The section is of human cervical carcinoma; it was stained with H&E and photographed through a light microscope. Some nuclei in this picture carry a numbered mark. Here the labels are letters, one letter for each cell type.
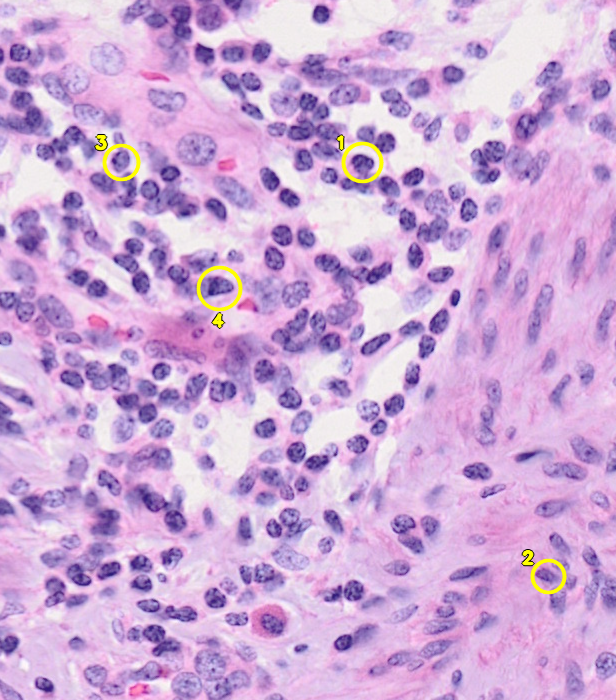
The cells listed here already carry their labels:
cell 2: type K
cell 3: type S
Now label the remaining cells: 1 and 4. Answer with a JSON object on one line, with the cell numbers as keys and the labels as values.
{"1": "type S", "4": "type S"}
